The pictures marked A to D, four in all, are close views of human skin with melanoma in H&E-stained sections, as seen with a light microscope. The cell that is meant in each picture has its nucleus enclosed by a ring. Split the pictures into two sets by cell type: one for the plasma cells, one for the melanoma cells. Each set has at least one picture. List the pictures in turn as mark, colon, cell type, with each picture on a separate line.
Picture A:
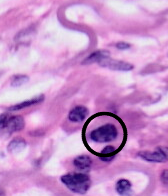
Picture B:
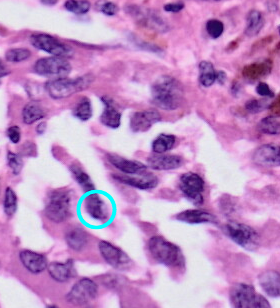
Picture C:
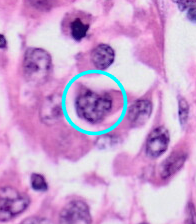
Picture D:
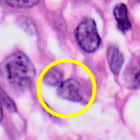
A: plasma cell
B: melanoma cell
C: melanoma cell
D: melanoma cell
